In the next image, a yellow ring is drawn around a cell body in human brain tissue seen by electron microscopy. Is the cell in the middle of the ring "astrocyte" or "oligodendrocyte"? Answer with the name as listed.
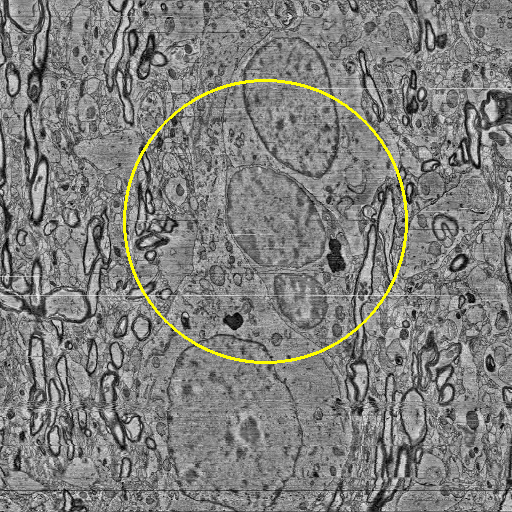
oligodendrocyte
